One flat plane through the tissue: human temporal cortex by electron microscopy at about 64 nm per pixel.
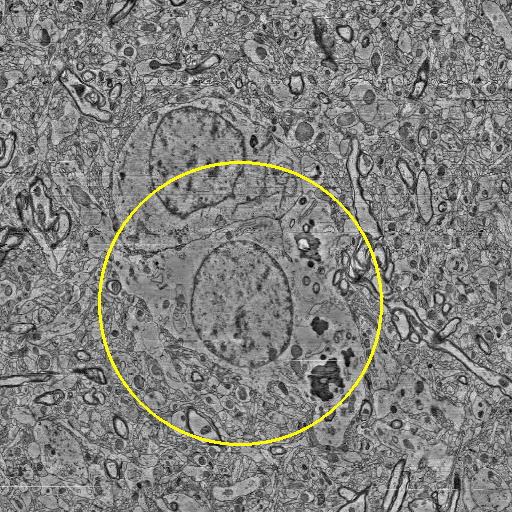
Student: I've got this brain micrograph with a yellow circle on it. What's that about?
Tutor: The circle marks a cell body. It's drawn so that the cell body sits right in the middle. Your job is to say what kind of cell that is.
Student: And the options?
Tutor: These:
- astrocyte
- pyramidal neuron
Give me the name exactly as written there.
astrocyte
